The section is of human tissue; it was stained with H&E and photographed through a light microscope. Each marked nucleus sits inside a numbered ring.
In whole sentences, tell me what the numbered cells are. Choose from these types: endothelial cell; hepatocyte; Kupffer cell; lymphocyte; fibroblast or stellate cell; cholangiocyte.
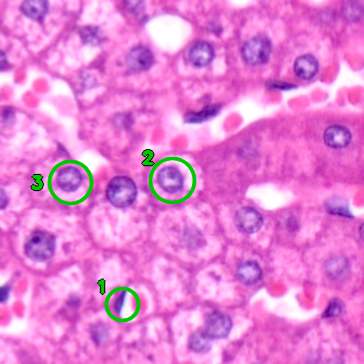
Cell 1 is an endothelial cell, cell 2 is a hepatocyte and cell 3 is a hepatocyte.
